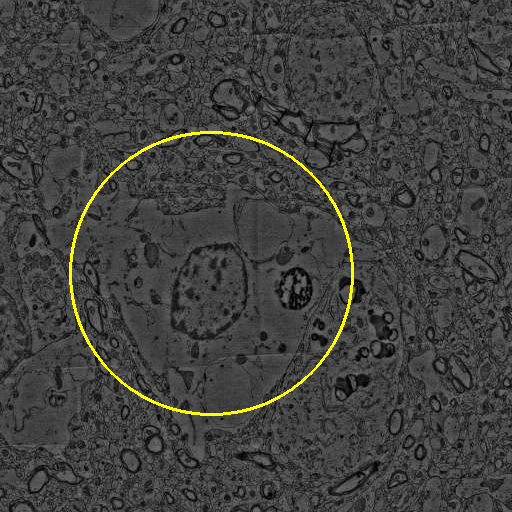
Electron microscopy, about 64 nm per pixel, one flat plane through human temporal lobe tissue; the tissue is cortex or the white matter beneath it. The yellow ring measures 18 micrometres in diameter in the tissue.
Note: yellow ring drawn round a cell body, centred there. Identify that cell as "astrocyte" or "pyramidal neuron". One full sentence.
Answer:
The cell in the middle of the ring is an astrocyte.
